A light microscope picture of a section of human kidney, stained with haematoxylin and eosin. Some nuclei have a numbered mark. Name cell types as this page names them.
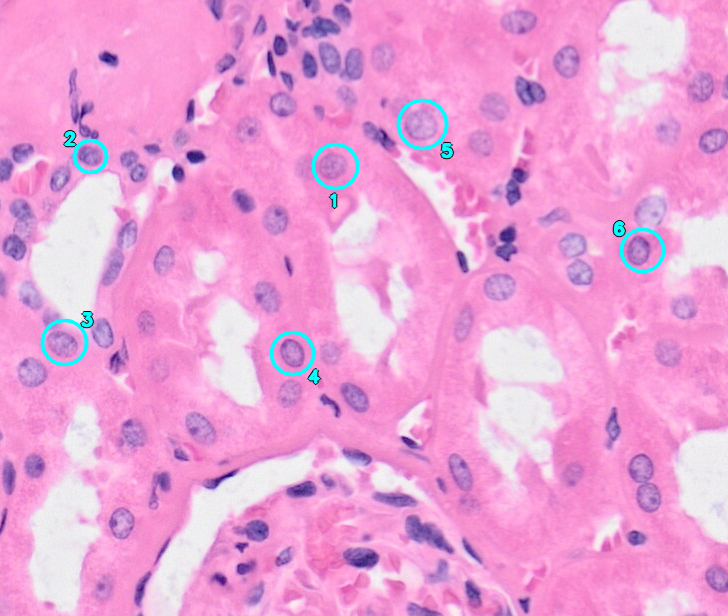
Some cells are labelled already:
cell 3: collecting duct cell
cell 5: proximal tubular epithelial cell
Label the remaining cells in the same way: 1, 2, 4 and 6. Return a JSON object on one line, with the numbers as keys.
{"1": "proximal tubular epithelial cell", "2": "collecting duct cell", "4": "proximal tubular epithelial cell", "6": "proximal tubular epithelial cell"}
